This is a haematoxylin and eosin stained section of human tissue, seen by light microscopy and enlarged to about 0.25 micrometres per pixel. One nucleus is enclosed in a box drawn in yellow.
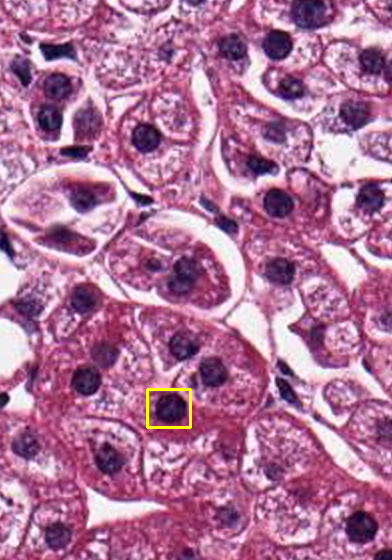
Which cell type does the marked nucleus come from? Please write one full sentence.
The nucleus singled out by the mark belongs to an adrenal cortical cell.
